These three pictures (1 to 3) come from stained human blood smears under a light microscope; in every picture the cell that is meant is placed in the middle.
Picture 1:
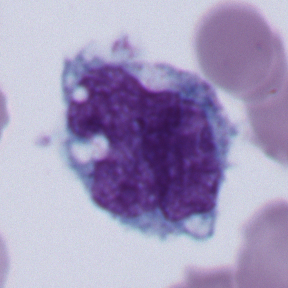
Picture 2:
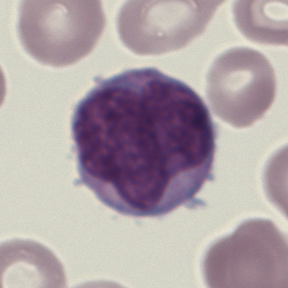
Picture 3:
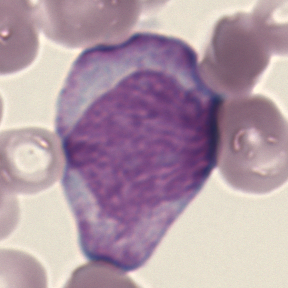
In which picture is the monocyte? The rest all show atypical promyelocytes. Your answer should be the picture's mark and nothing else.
1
